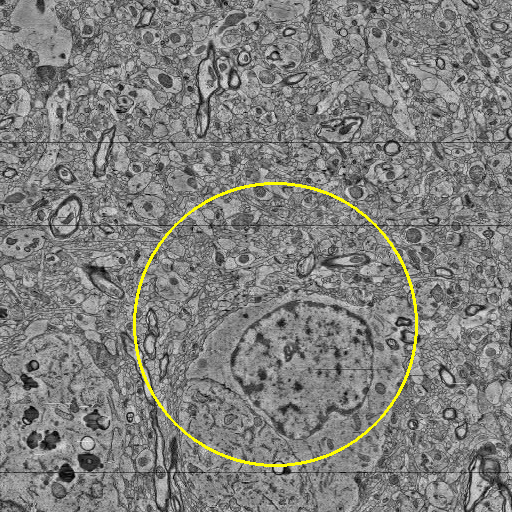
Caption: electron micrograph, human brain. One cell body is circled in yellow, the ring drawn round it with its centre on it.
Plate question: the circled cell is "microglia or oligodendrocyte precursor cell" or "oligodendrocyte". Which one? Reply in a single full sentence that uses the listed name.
The yellow ring on the plate is centred on a microglial cell or oligodendrocyte precursor cell, going by the listed names.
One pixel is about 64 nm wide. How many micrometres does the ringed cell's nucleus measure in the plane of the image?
The ringed cell's nucleus is about 9 micrometres across in this plane.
